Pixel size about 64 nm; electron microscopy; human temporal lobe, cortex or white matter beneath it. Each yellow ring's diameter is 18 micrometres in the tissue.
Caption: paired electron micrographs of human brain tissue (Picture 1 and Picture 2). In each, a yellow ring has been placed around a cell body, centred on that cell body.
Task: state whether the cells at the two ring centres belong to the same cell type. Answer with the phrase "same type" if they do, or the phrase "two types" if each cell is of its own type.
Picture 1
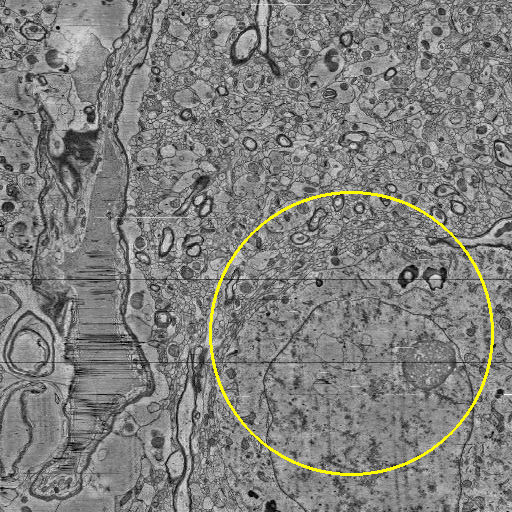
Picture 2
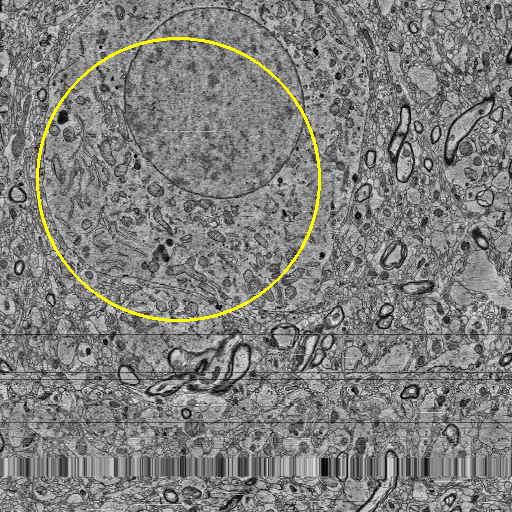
two types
